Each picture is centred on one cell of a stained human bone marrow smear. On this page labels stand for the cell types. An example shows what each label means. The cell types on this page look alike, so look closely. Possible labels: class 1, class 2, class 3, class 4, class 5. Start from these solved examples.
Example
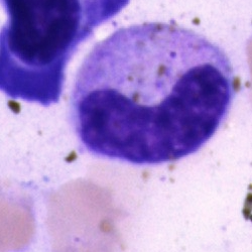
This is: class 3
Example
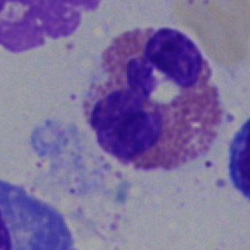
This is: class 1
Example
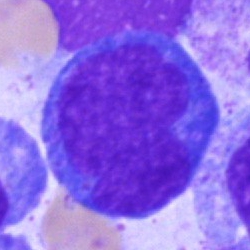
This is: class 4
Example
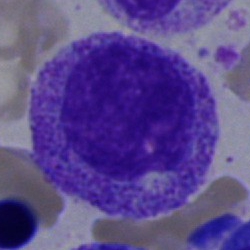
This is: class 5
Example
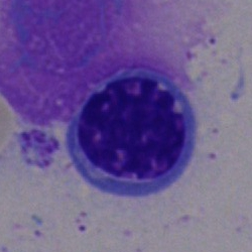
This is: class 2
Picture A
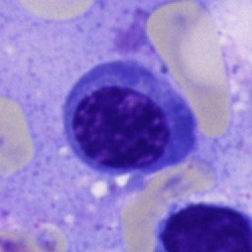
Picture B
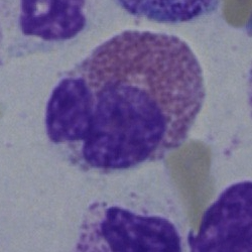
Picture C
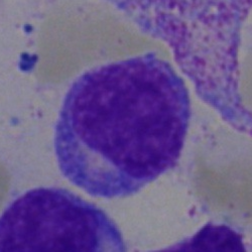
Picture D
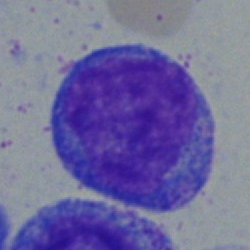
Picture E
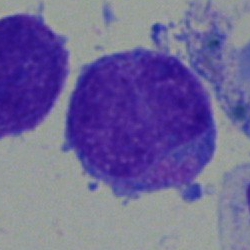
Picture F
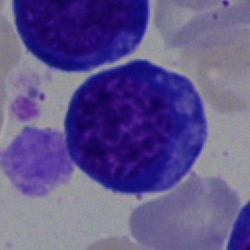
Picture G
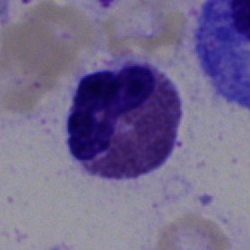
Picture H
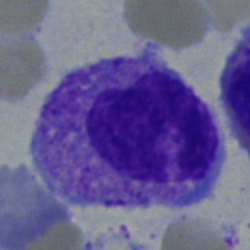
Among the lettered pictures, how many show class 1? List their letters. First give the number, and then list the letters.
2: B, G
